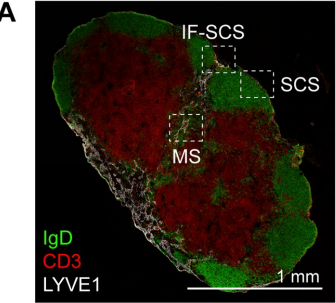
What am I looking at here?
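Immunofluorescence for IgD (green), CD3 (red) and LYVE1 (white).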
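This is a whole cross-section of a lymph node, seen at low magnification so that its overall architecture rather than single cells stands out. Along the outer rim, rounded green nodules form a chain just beneath the border of the organ. The large interior of the section is filled by a broad red zone that lies deeper than the green nodules. A fine white network of channels runs mainly along one side of the node, the lower left. Thinner white tracts extend from there between the green nodules and into the interior, outlining the sinus passages of the node.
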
